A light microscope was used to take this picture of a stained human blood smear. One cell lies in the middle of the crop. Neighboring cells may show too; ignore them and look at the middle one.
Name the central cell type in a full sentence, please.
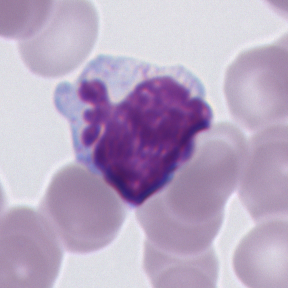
What sits at the centre of this crop is a large granular lymphocyte.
